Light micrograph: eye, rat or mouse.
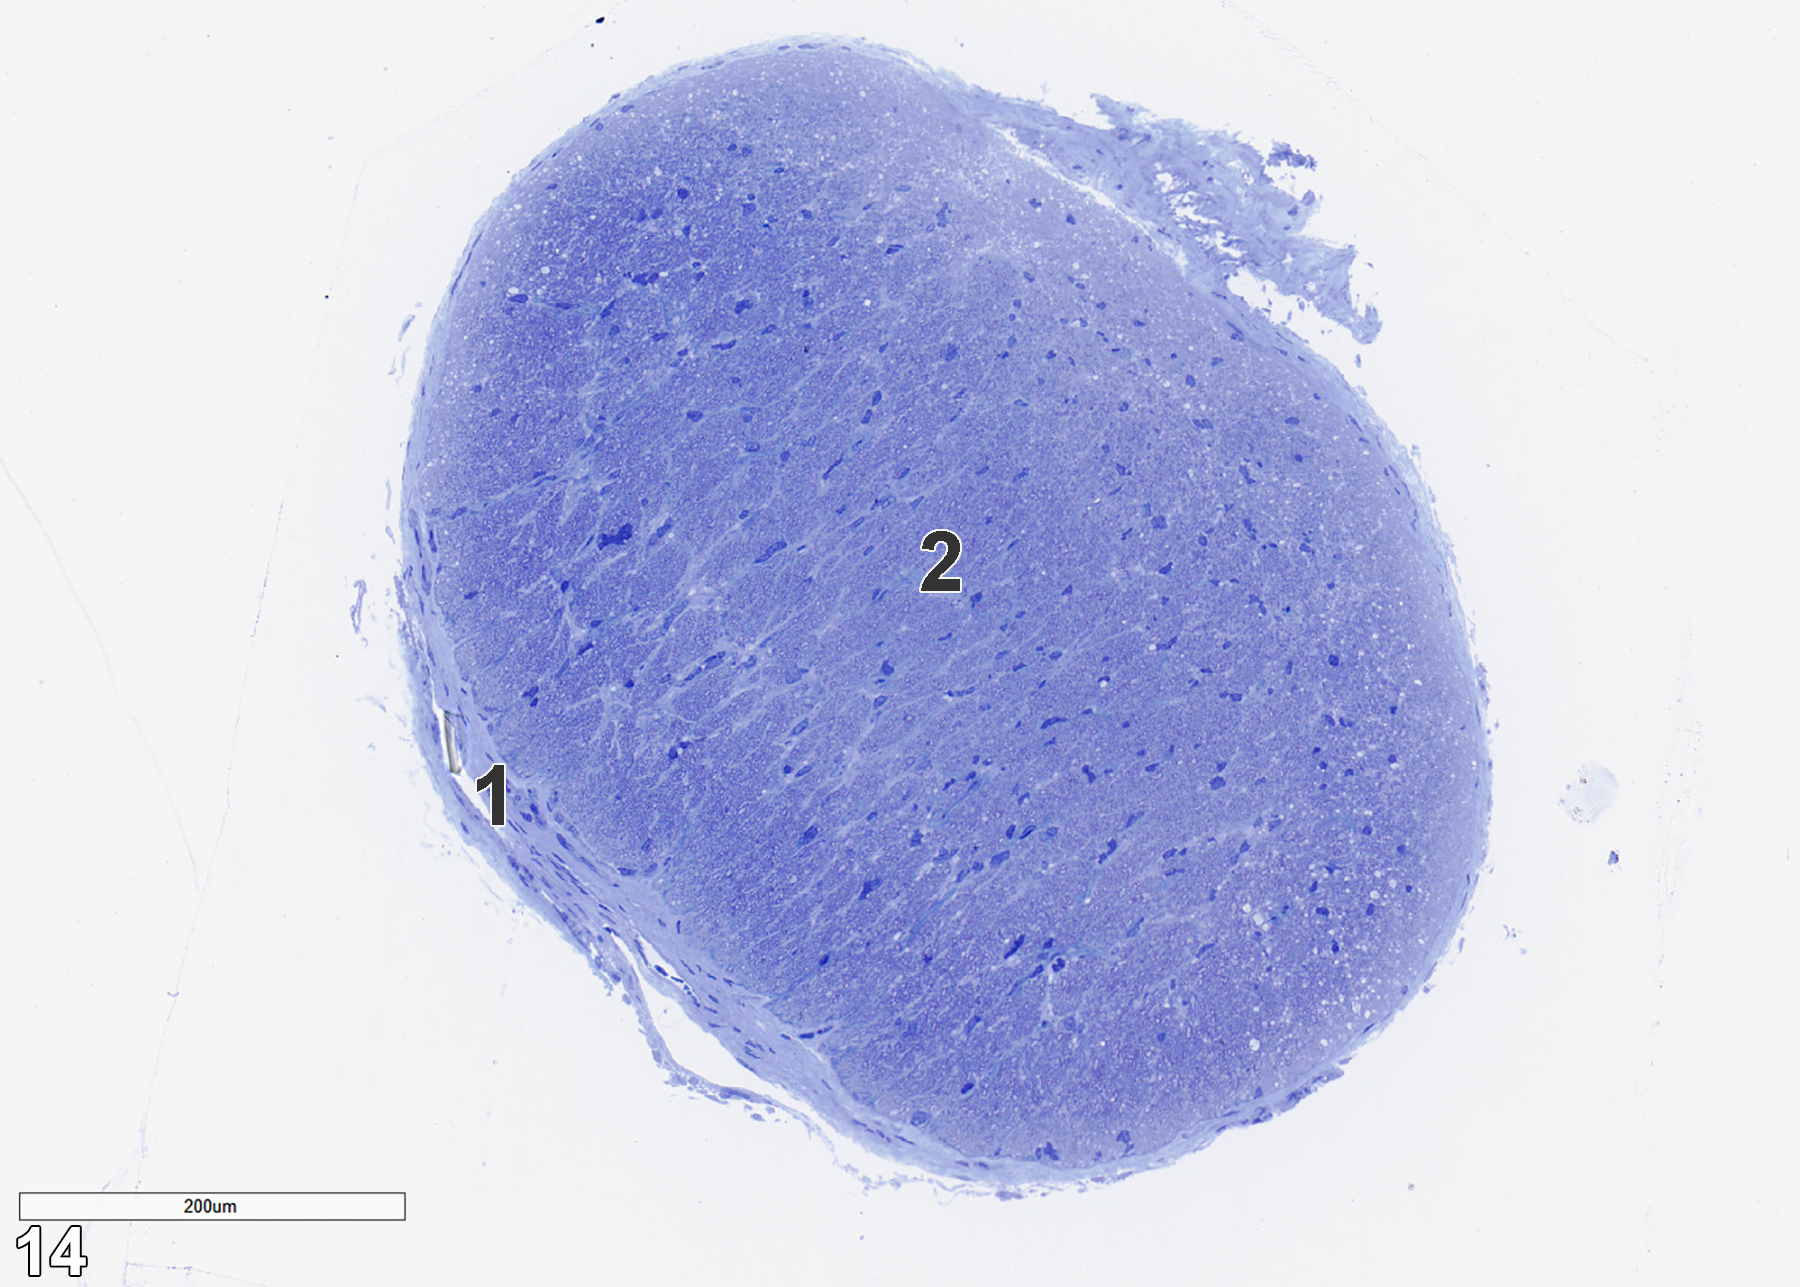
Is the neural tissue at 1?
No, it marks the epineurium; the neural tissue is at 2.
